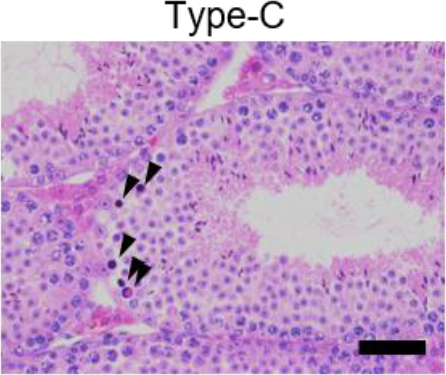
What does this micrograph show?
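A testicular tubule in cross section shows a many-layered epithelium of round-nucleated germ cells around an open lumen to the right. Near the tubule's outer edge on the left, arrowheads point to small, dark, shrunken nuclei of dead cells lying among otherwise ordinary-looking germ cells.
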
